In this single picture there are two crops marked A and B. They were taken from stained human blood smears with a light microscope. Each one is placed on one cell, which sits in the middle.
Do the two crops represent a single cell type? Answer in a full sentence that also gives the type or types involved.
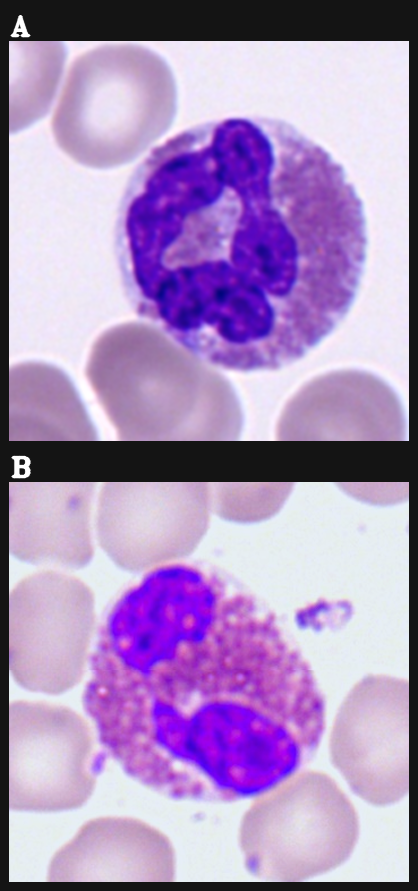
Yes, eosinophils are present at the centre of both crops.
